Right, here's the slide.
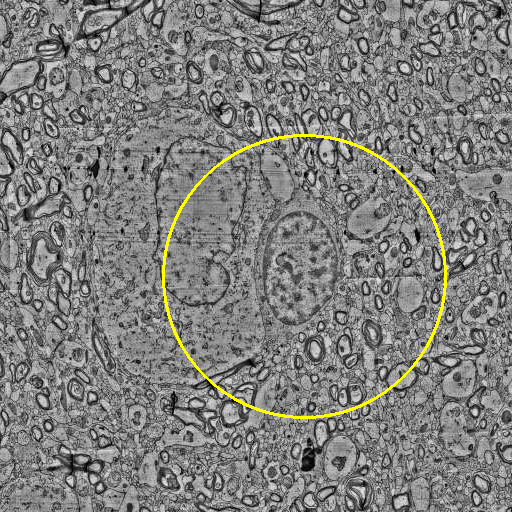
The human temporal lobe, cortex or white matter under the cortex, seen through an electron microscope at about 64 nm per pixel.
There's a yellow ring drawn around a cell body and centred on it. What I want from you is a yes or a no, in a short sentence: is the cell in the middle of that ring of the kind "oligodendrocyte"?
Yes, it's of that kind.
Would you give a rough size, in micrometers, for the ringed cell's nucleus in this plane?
In this plane the nucleus is about 7 micrometres by 5.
